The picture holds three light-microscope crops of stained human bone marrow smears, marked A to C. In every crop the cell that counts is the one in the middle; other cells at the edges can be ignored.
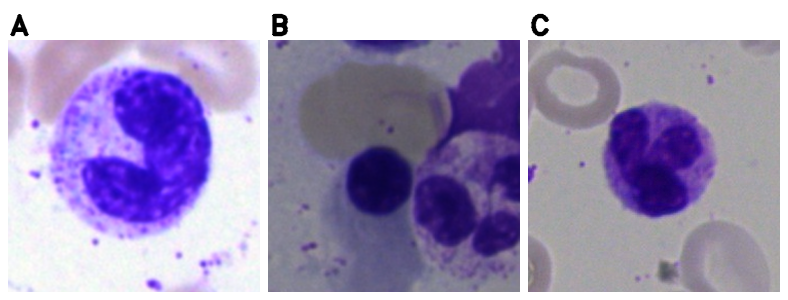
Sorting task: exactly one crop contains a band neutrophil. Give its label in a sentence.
Crop A, and no other, is the one that shows a band neutrophil.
